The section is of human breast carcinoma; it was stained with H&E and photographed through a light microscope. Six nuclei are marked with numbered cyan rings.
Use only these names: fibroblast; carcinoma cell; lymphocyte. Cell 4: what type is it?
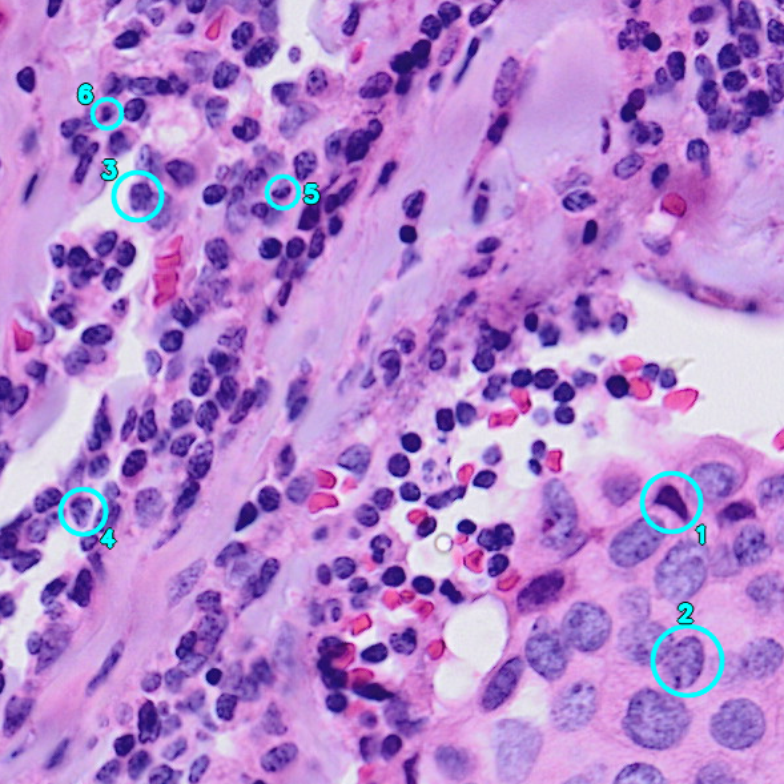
lymphocyte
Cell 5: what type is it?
lymphocyte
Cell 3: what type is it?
lymphocyte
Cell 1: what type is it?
carcinoma cell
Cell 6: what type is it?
lymphocyte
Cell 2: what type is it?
carcinoma cell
